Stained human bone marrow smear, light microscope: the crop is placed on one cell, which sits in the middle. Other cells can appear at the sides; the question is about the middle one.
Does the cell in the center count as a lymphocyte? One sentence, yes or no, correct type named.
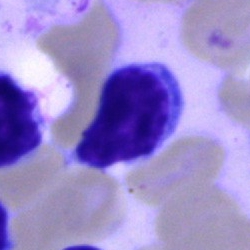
Yes, the cell found in the middle is a lymphocyte.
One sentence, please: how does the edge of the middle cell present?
Edge check done: smooth outline, no projections present.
